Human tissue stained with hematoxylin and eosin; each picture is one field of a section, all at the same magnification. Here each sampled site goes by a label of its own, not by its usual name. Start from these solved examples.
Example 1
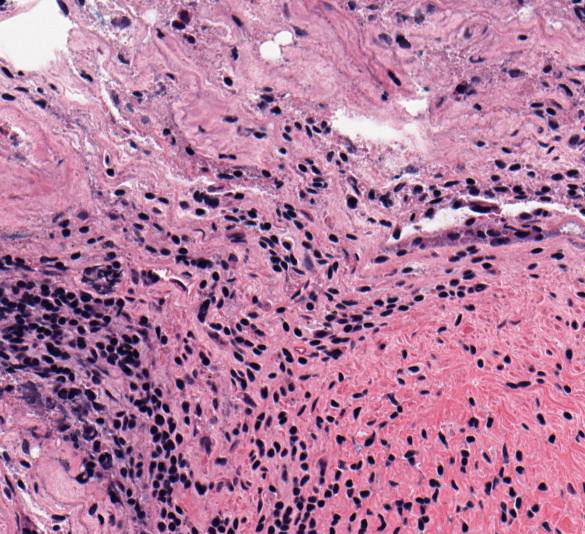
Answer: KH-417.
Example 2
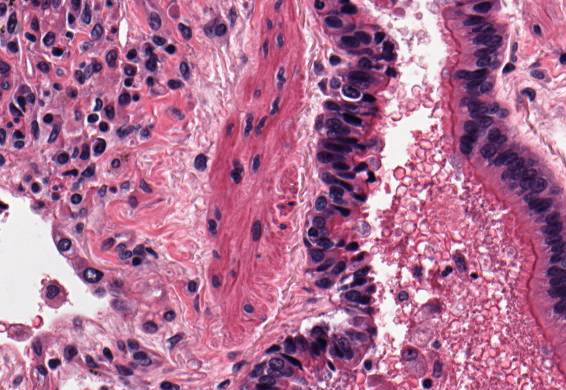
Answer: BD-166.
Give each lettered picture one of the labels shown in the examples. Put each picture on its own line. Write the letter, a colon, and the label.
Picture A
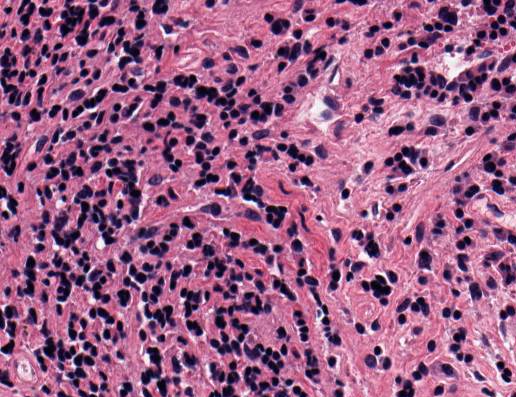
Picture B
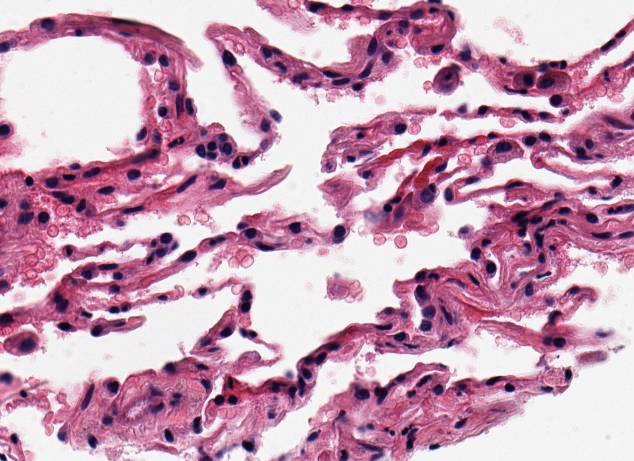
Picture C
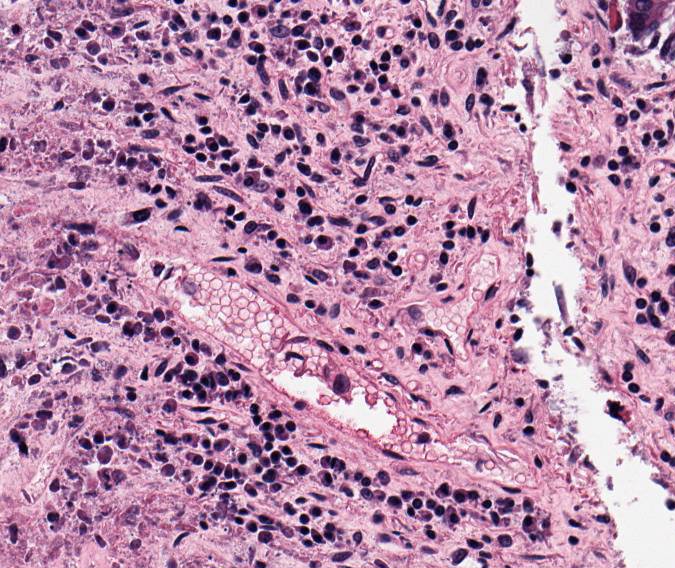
A: KH-417.
B: BD-166.
C: KH-417.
